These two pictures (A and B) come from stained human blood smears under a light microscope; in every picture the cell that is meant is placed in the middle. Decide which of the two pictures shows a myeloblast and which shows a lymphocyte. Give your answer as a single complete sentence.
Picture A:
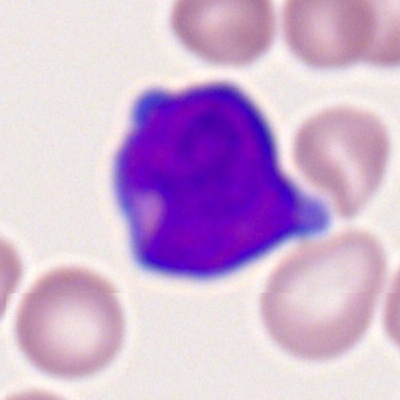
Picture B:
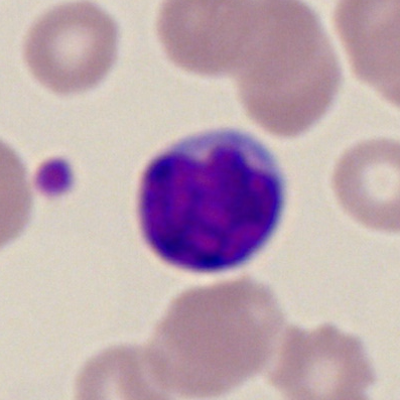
The cell in picture A is a myeloblast, and the one in picture B is a lymphocyte.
